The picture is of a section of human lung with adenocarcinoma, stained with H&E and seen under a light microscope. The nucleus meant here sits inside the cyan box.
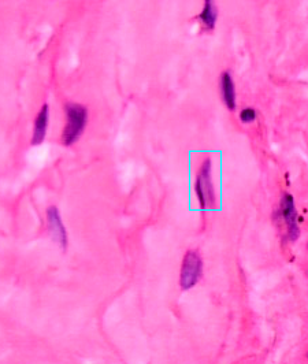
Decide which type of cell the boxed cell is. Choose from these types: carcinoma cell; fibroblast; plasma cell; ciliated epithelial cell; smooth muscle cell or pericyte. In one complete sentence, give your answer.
In cell-type terms, the boxed cell is a fibroblast.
